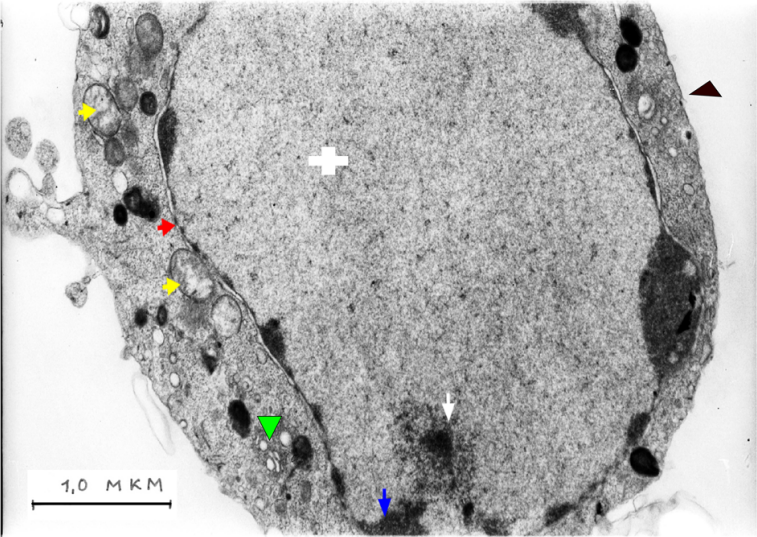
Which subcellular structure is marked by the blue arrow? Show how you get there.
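Heterochromatin. The arrow points at a dark, dense patch at the edge of the nucleus. This patch is much darker than the pale nuclear interior.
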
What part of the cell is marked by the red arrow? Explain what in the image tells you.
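Nuclear envelop. The arrow points at a thin line separating the pale nucleus from the cytoplasm full of organelles.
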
